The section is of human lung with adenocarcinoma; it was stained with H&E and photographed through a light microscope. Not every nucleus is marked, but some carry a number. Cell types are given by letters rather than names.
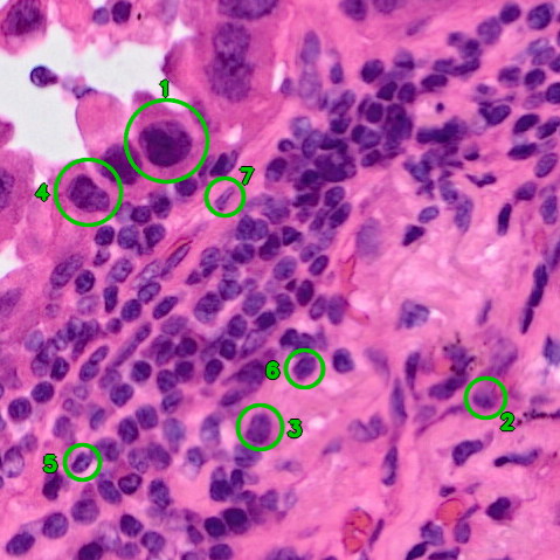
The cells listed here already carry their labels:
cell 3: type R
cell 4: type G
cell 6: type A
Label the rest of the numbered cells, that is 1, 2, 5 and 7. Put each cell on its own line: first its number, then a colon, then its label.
1: type G
2: type R
5: type A
7: type A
